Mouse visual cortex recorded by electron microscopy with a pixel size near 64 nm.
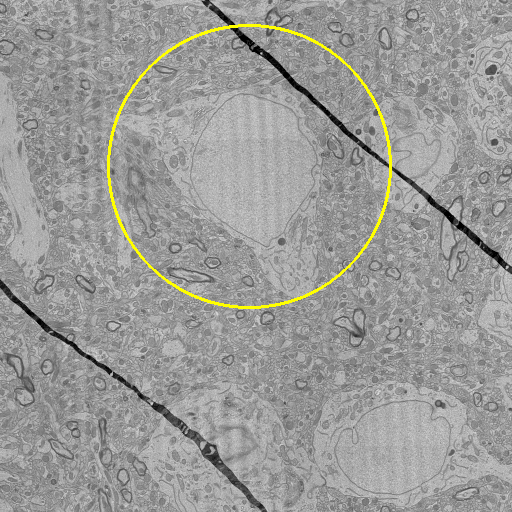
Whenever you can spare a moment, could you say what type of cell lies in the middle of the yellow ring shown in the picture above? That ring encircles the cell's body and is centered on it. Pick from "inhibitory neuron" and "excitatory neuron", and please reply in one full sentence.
The cell whose body sits at the middle of the yellow ring is an excitatory neuron.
